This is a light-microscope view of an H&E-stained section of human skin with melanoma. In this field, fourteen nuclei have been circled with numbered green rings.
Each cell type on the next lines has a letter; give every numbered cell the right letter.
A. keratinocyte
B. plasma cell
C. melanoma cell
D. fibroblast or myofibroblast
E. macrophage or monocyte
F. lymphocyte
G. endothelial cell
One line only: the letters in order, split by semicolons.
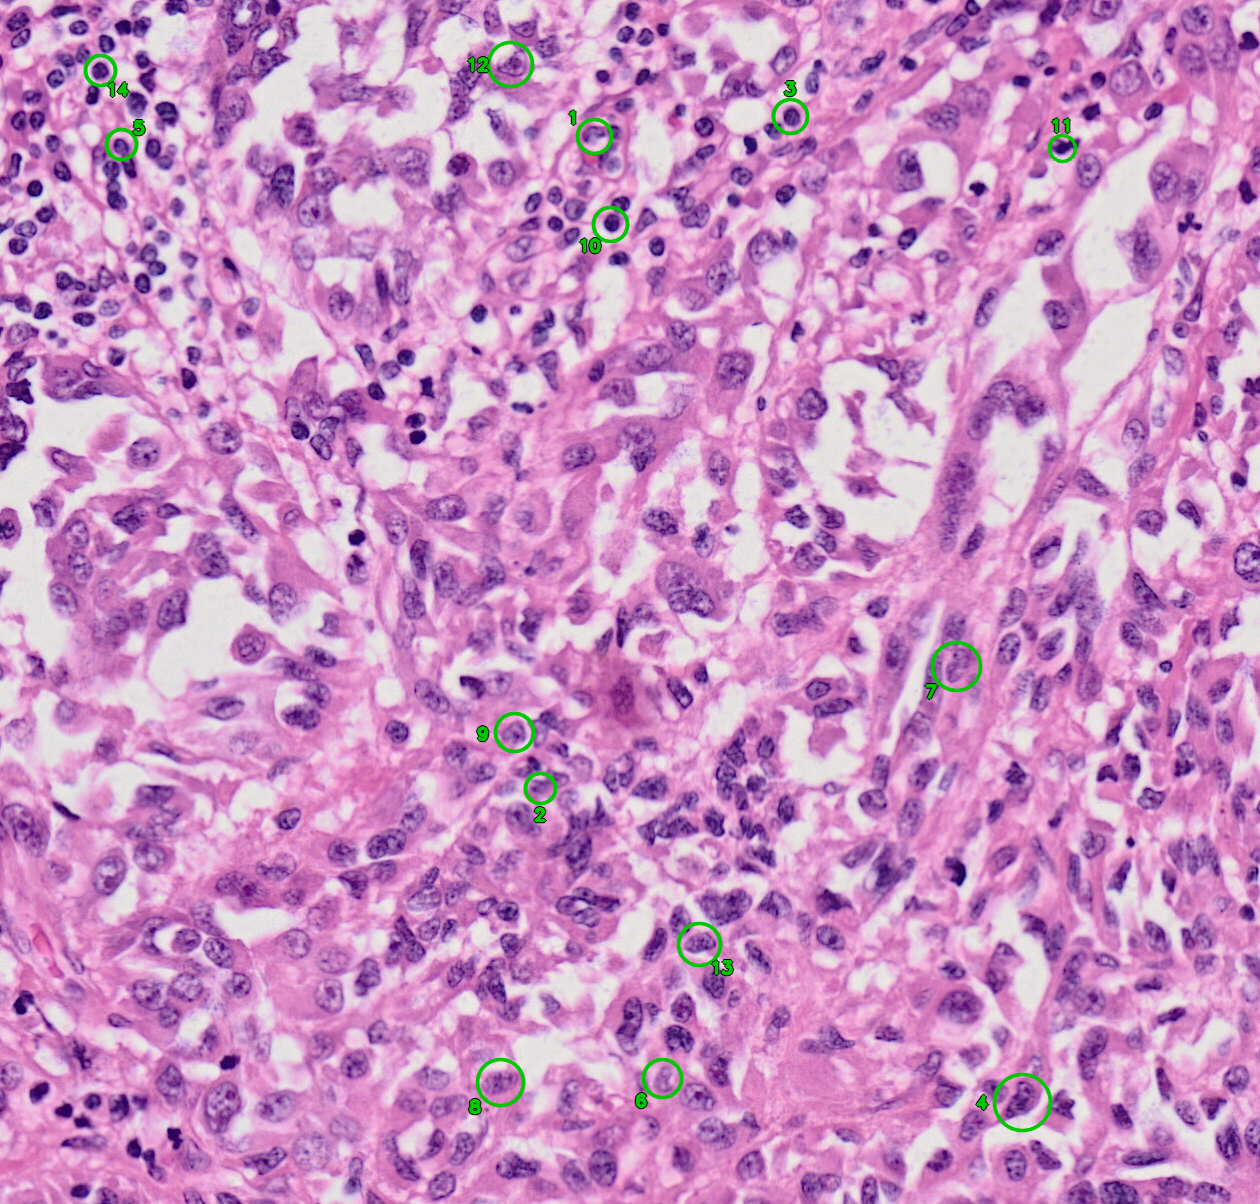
G; C; F; C; F; C; C; C; C; F; F; C; C; F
